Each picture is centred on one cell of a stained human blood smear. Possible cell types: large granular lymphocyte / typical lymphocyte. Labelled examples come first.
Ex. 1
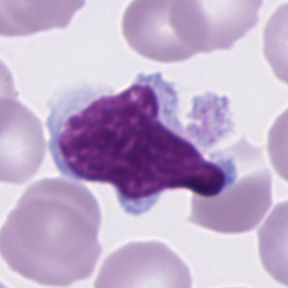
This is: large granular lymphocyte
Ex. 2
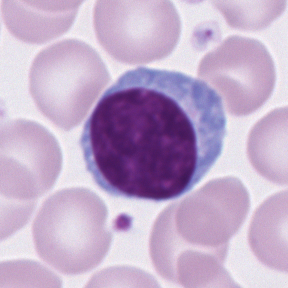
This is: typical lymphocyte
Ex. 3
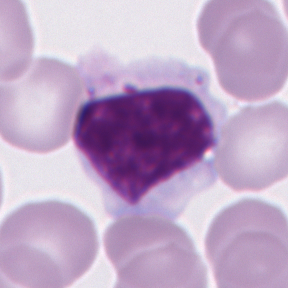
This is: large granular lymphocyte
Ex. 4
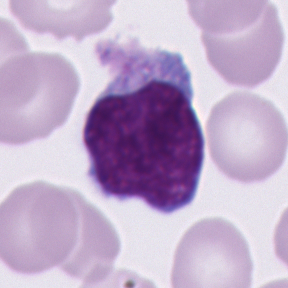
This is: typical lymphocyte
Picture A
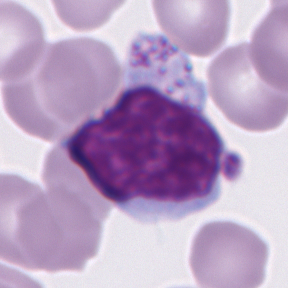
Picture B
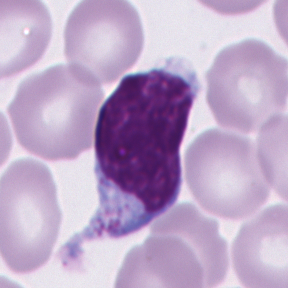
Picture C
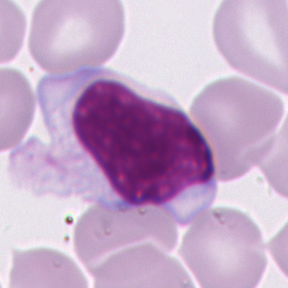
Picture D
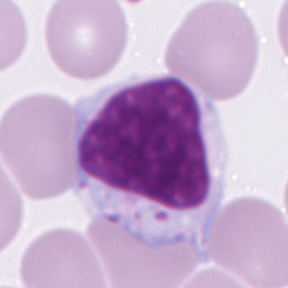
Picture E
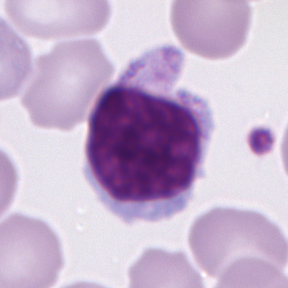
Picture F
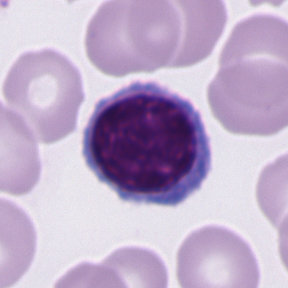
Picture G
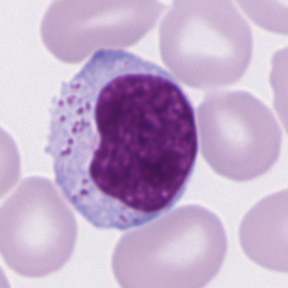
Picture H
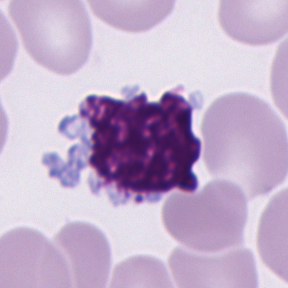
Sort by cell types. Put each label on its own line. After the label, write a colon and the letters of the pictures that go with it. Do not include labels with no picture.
large granular lymphocyte: A, B, C, D, G
typical lymphocyte: E, F, H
